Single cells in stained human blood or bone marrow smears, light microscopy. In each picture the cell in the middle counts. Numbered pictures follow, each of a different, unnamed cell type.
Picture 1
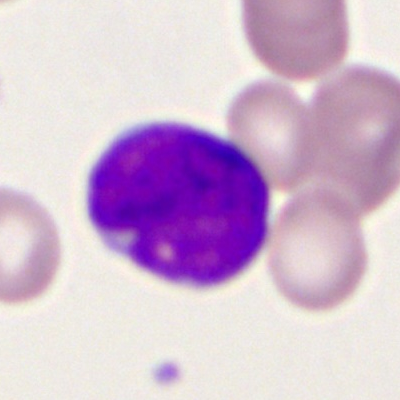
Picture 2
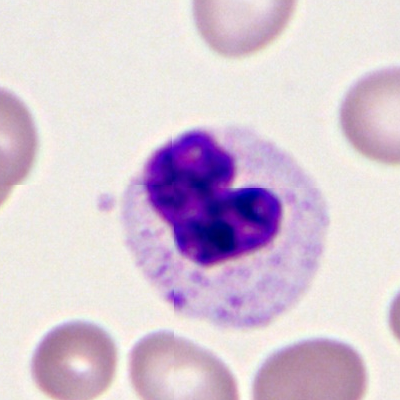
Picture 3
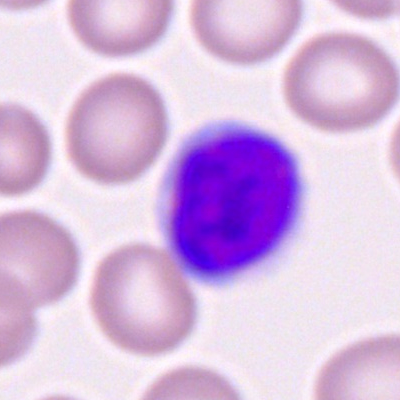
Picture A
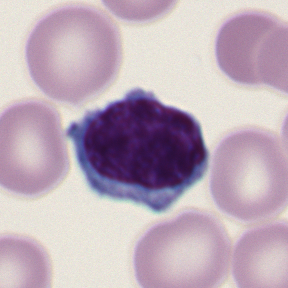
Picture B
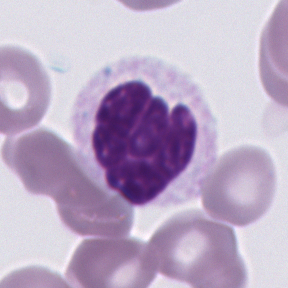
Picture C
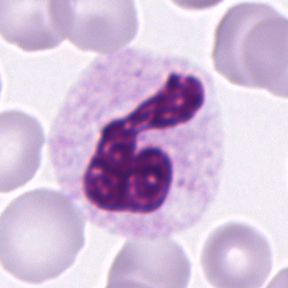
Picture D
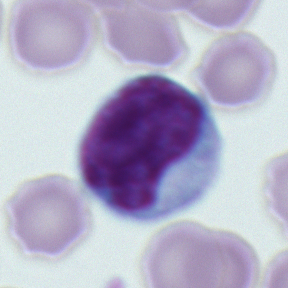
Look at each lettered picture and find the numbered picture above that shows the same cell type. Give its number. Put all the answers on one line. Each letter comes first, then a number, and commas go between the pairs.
A 3, B 2, C 2, D 3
